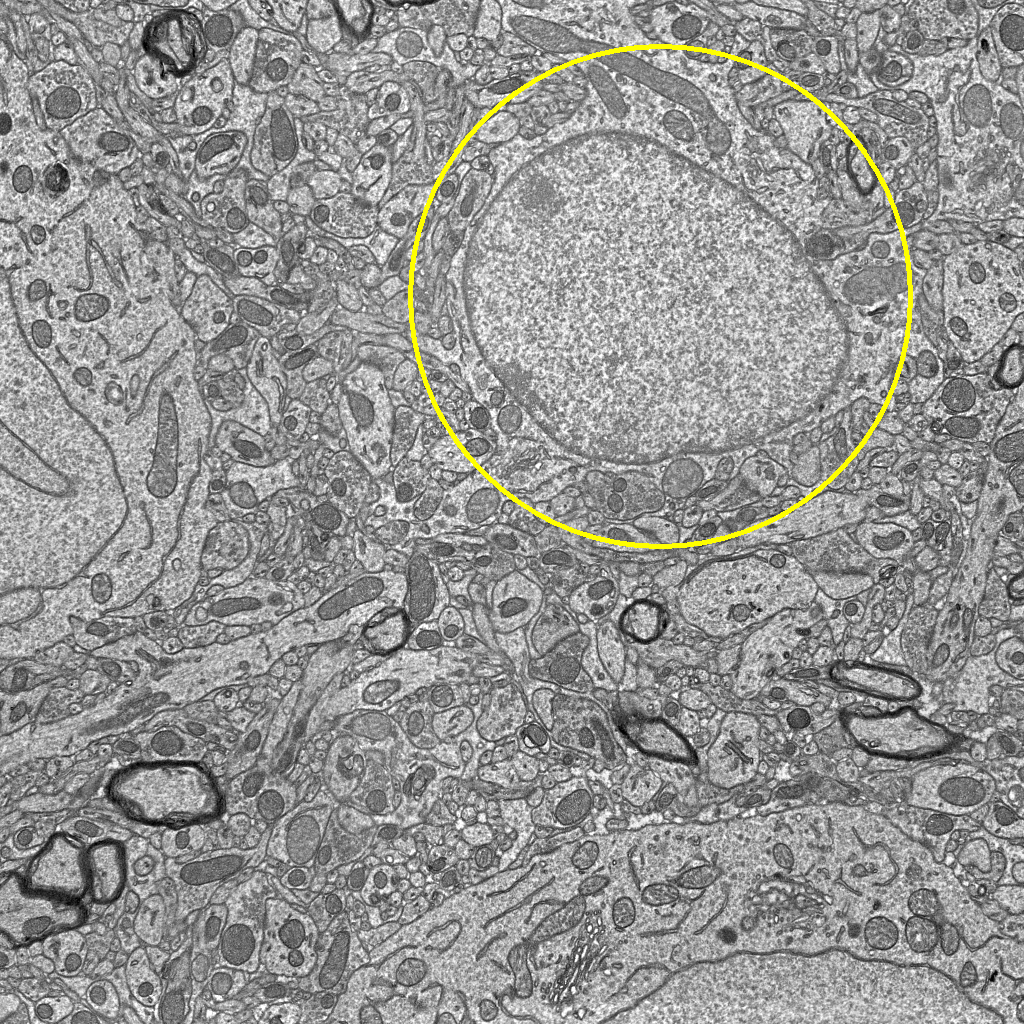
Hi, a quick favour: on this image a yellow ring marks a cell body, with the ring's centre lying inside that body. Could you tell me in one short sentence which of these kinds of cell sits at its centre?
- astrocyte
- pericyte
The ring's centre lies in an astrocyte.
